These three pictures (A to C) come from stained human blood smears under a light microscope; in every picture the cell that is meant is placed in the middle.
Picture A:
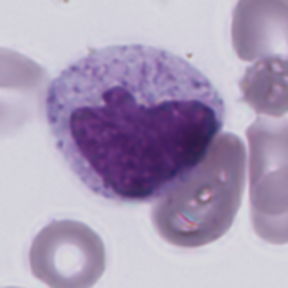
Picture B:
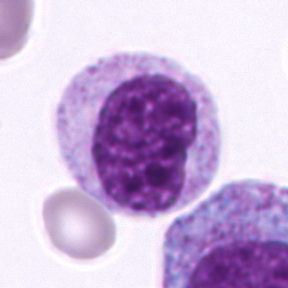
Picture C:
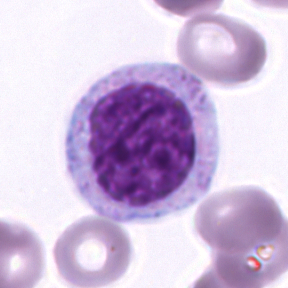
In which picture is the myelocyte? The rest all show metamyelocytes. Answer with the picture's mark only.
C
